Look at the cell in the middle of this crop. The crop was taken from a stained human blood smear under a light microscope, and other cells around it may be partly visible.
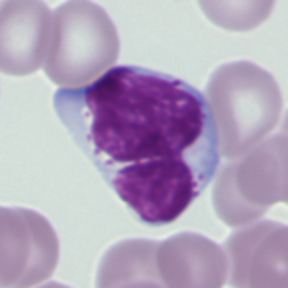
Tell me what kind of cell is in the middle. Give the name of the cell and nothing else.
large granular lymphocyte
